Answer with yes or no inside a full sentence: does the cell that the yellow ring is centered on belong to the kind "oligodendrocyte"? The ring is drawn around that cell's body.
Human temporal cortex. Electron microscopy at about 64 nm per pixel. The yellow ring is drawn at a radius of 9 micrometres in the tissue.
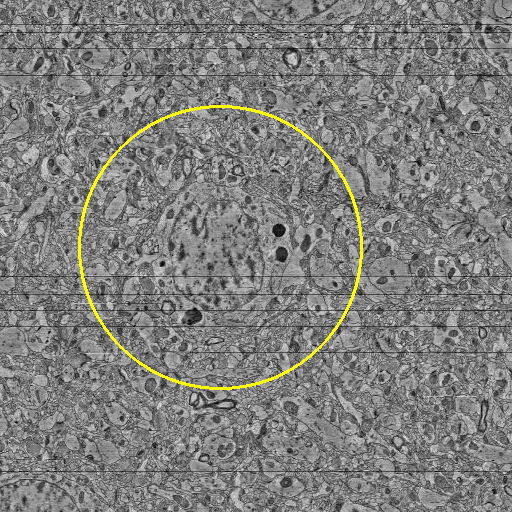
No, another kind describes the cell the yellow ring is centered on in the picture.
